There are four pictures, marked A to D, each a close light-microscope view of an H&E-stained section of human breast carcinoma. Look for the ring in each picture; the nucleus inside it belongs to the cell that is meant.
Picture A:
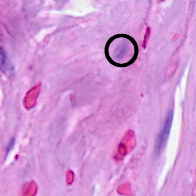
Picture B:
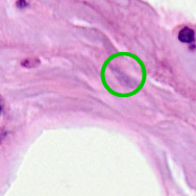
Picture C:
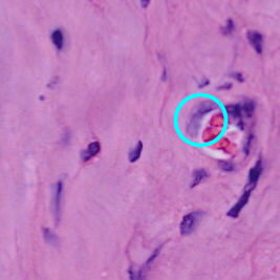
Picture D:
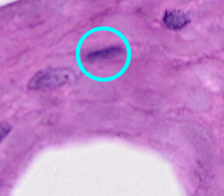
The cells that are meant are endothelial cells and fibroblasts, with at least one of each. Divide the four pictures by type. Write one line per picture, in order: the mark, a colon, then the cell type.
A: fibroblast
B: fibroblast
C: endothelial cell
D: fibroblast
